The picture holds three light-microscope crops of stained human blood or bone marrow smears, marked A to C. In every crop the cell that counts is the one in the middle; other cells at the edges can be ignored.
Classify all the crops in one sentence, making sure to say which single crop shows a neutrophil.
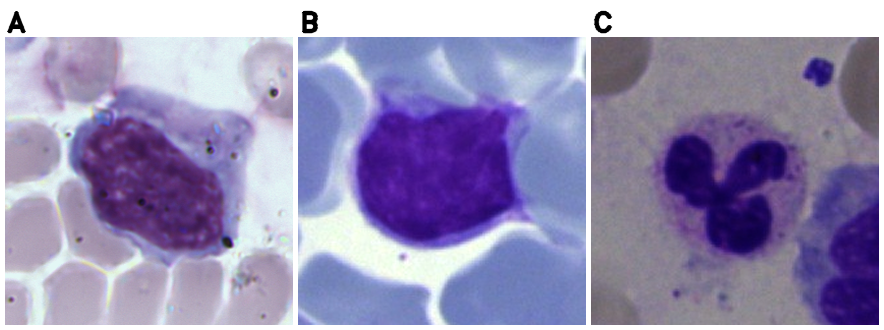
Crop by crop: crop C is a neutrophil, while crop A is a plasma cell and crop B is a lymphocyte.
